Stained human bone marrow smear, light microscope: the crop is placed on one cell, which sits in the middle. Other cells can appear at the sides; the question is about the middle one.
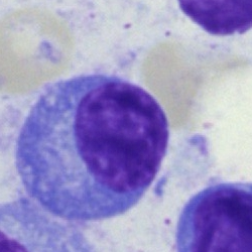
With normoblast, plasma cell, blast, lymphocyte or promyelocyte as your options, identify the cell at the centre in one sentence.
The central cell shown in this smear crop is a plasma cell.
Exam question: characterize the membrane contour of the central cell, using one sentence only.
Around its whole circumference the outline stays smooth, free of projections.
